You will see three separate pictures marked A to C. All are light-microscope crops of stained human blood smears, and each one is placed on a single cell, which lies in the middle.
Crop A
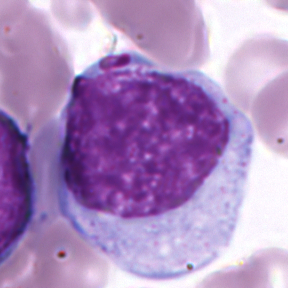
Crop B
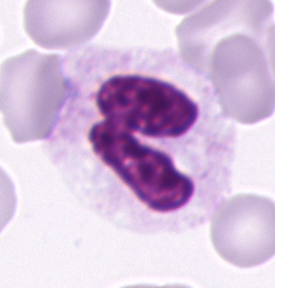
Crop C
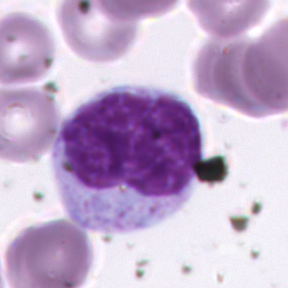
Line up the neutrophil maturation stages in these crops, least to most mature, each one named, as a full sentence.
Listed from least to most mature, the crops read crop A (a promyelocyte), crop C (a metamyelocyte) and crop B (a segmented neutrophil).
